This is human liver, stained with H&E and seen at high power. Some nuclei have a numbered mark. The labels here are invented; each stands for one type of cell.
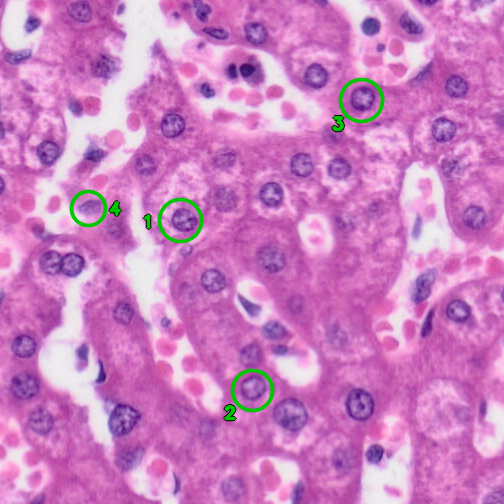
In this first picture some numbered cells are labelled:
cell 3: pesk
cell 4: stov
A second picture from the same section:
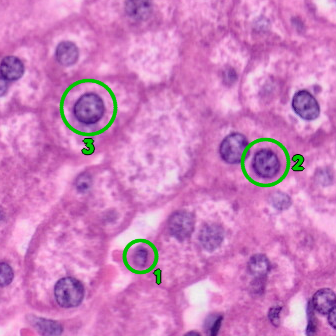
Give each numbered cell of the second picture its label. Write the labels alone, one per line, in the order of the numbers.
stov
pesk
pesk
